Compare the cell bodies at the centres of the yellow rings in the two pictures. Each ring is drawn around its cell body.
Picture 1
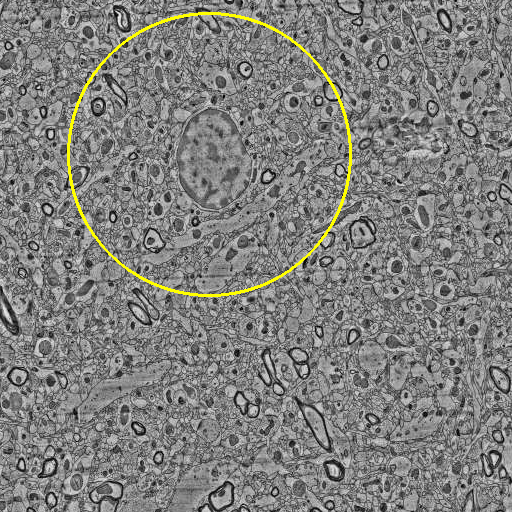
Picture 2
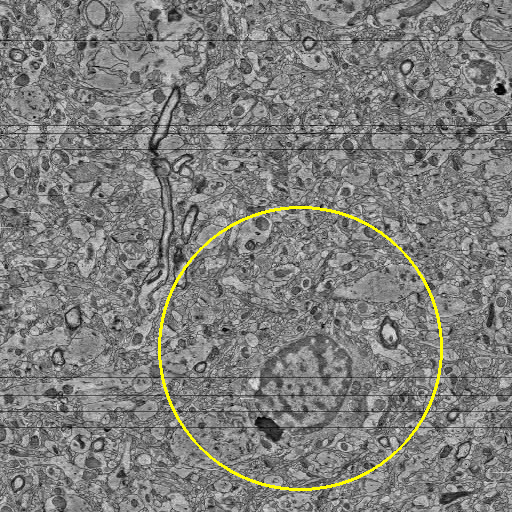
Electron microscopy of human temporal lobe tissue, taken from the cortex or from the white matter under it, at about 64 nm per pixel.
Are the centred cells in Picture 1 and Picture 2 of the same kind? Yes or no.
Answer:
no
